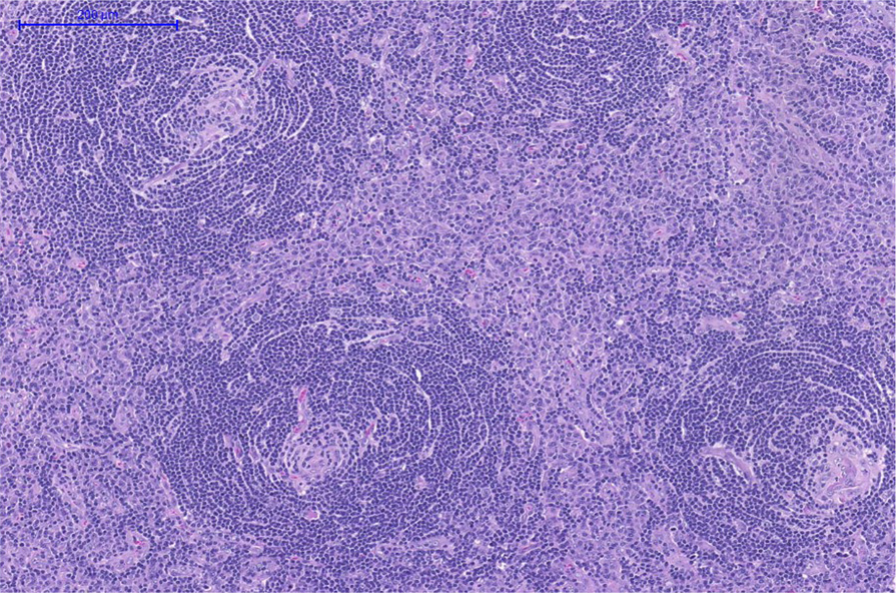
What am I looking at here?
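This is lymphoid tissue with several follicles set apart by a broad cellular area. Around each centre lies a wide rim of small dark lymphocytes lined up in concentric rings like the layers of an onion. Together, the shrunken glassy follicle centres, the onion-skin rims and the crowded tissue between follicles fit Castleman disease, with plasma cells filling the interfollicular areas.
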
